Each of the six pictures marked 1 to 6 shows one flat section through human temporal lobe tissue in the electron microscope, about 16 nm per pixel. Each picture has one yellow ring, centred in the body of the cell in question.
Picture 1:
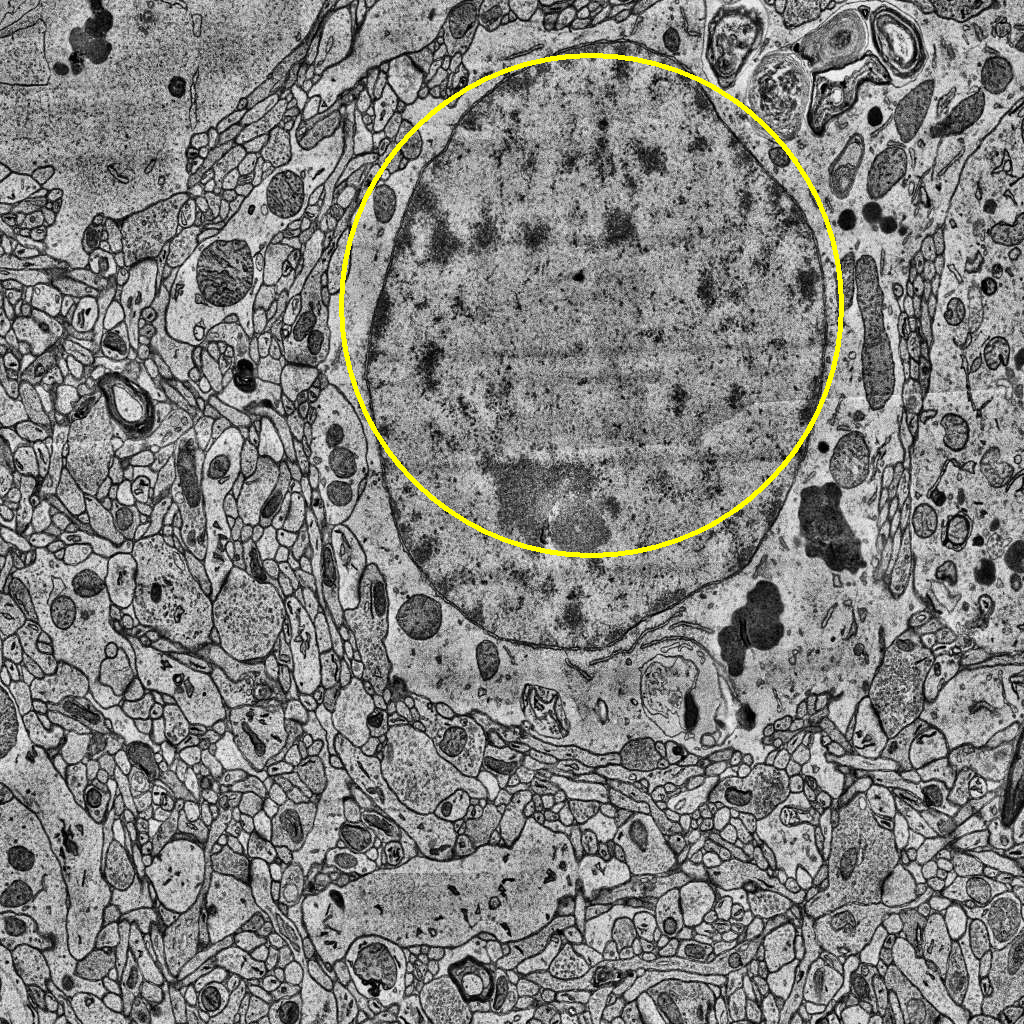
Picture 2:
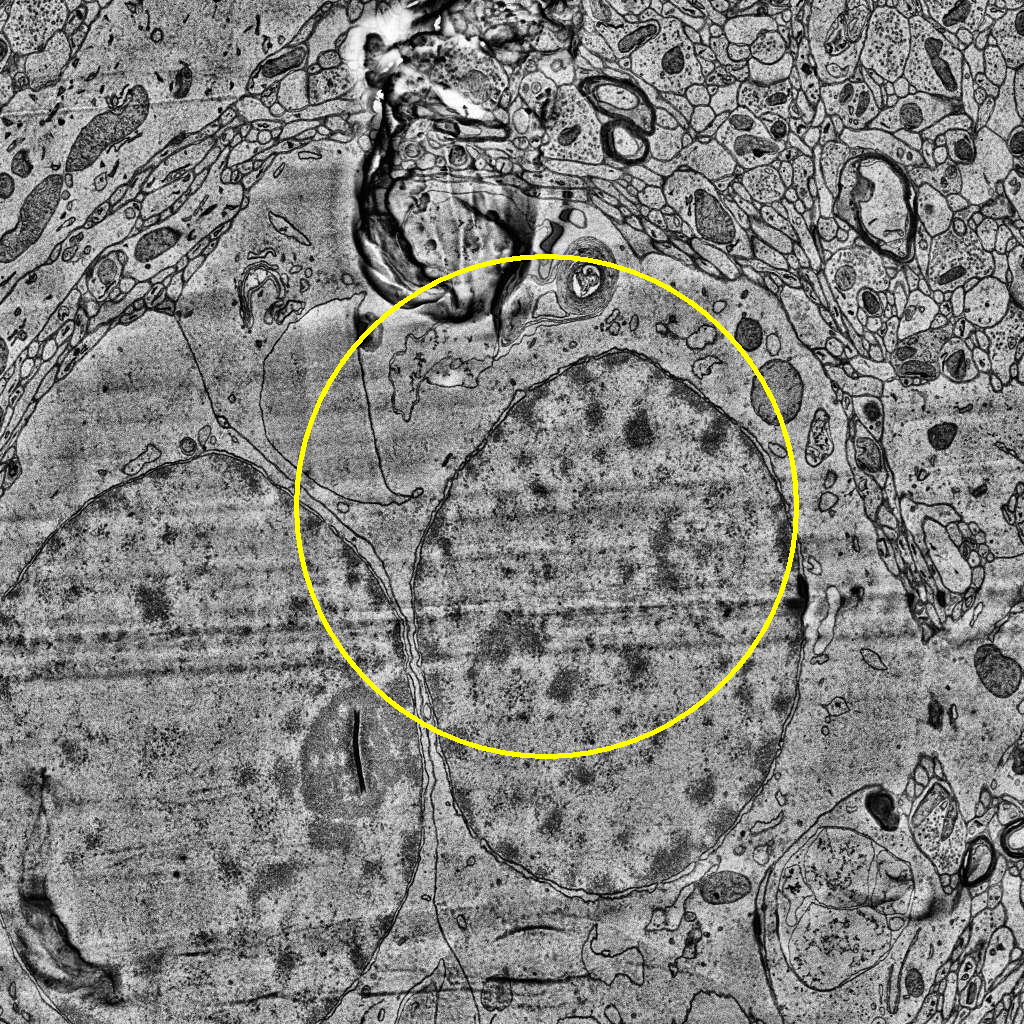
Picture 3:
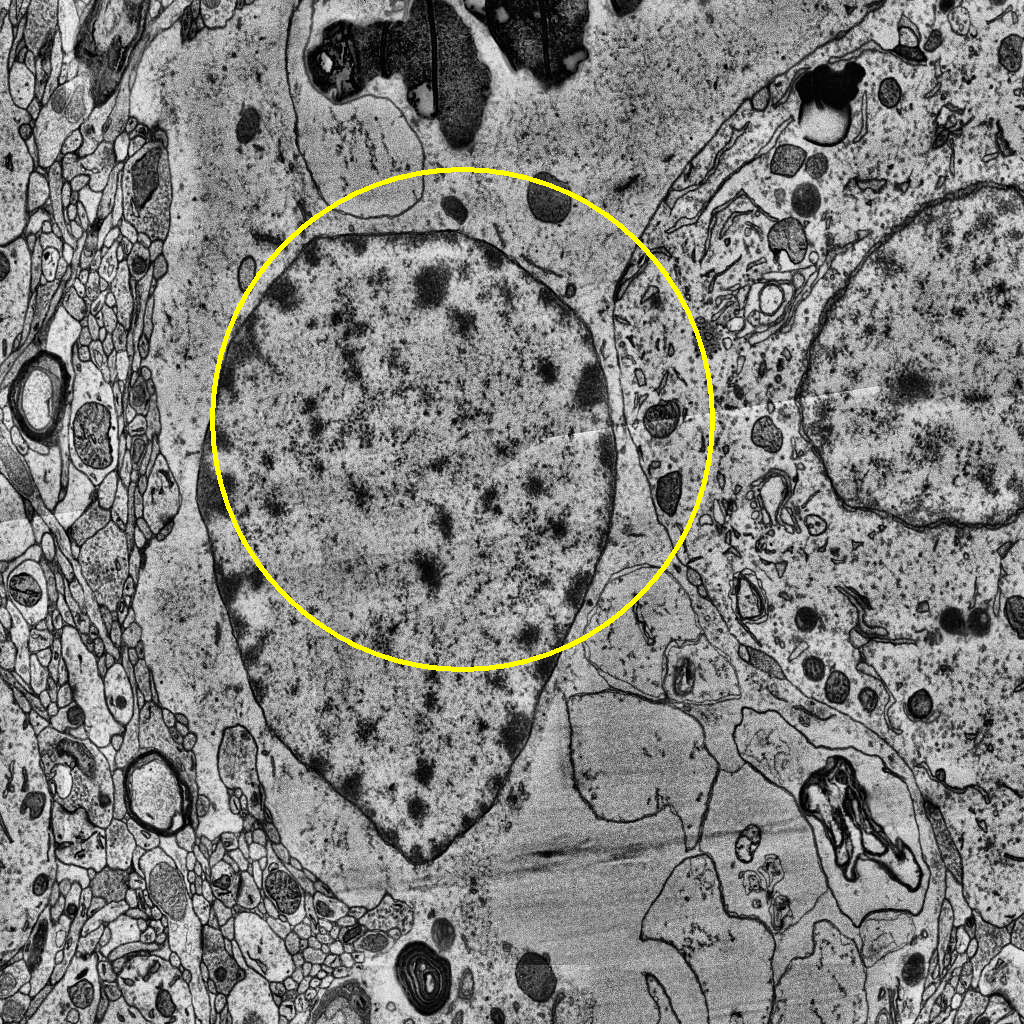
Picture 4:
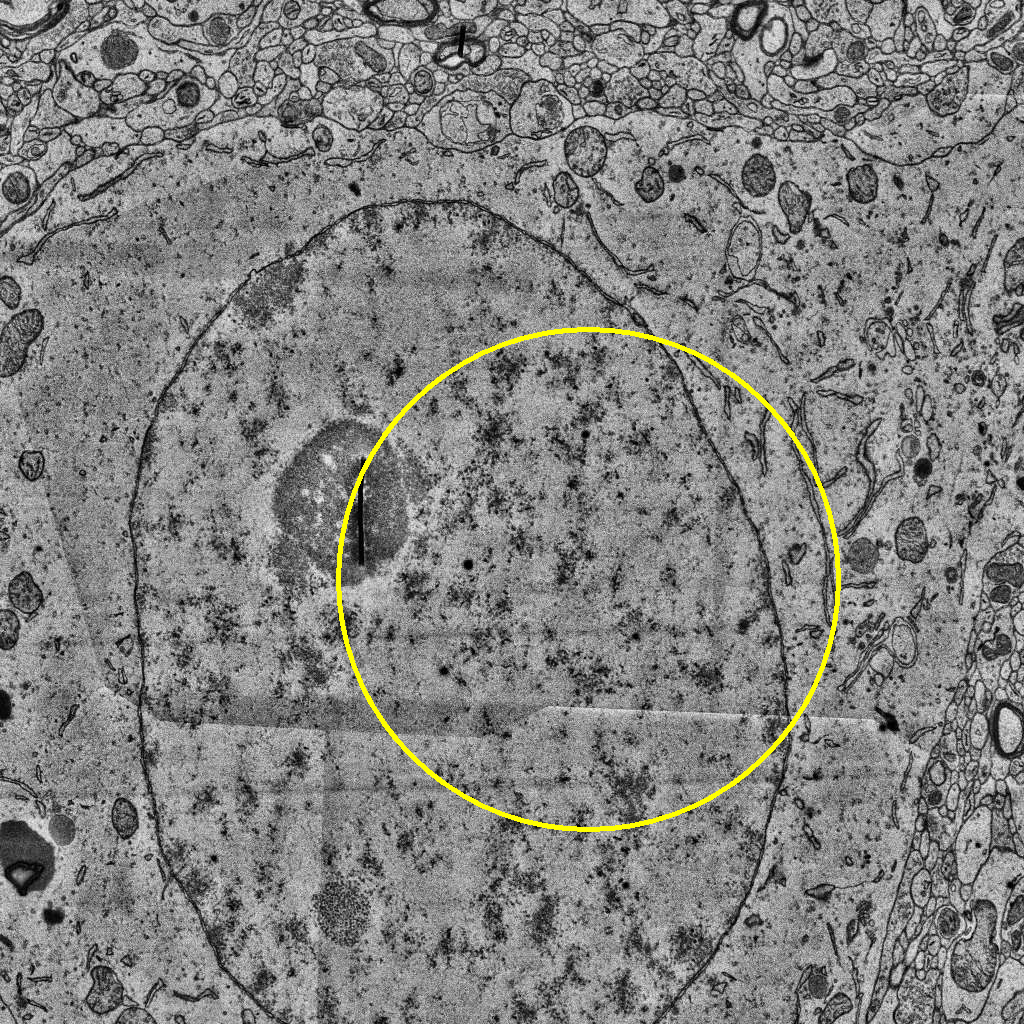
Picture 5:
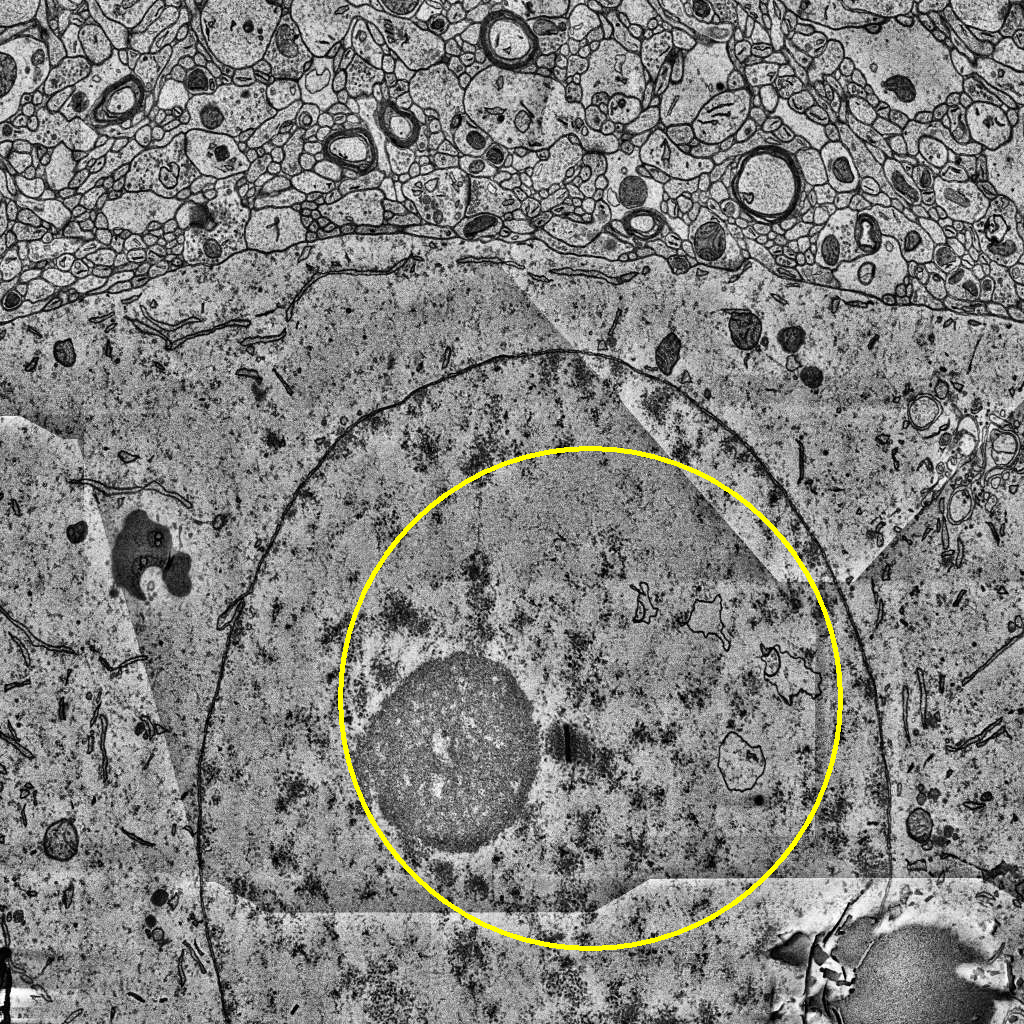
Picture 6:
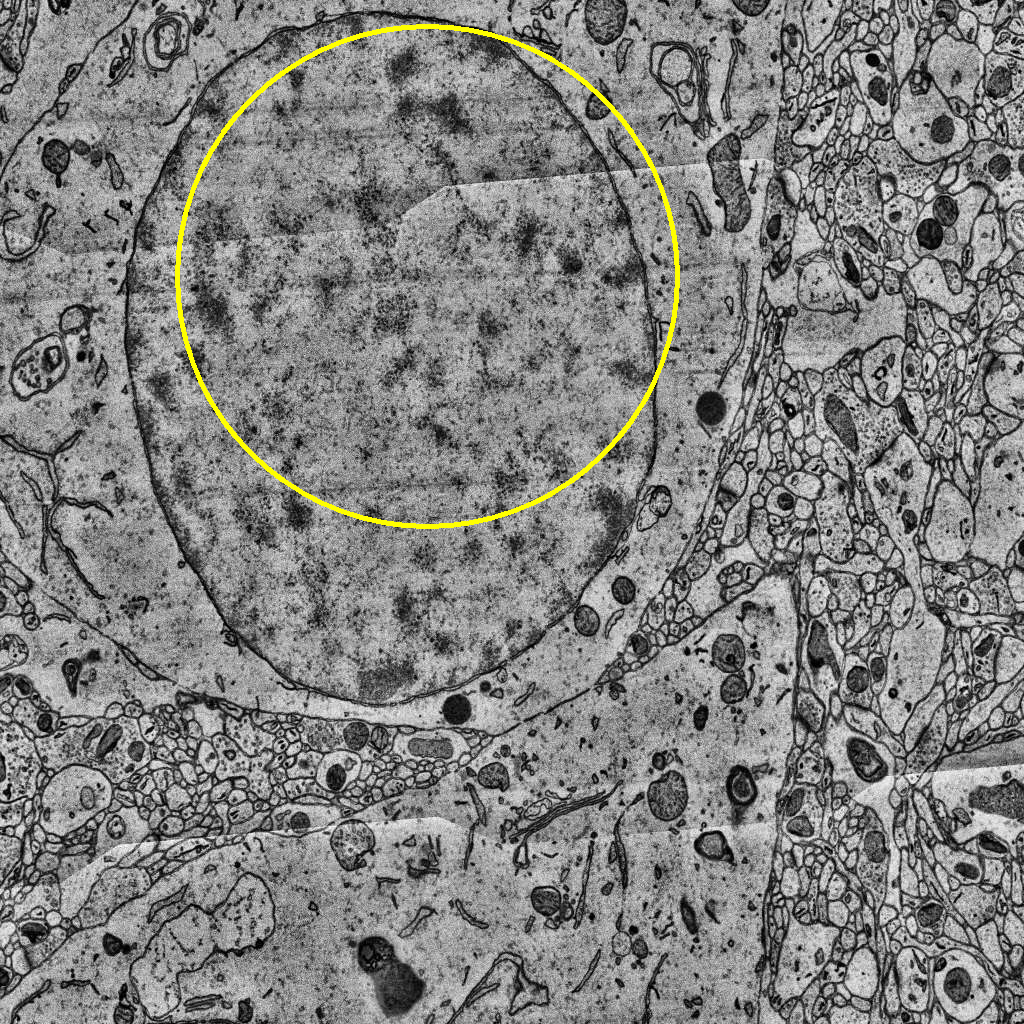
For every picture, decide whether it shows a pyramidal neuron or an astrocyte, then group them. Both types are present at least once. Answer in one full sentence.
Pictures 4, 5 and 6 show pyramidal neurons, and pictures 1, 2 and 3 show astrocytes.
